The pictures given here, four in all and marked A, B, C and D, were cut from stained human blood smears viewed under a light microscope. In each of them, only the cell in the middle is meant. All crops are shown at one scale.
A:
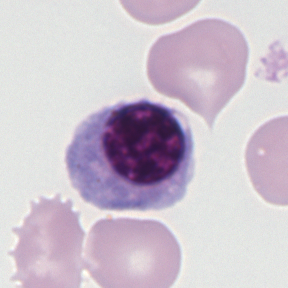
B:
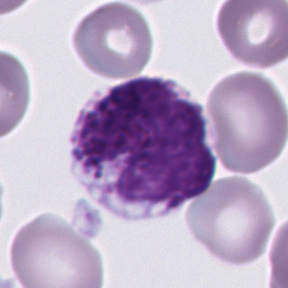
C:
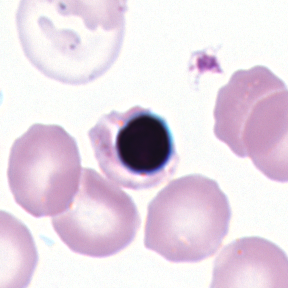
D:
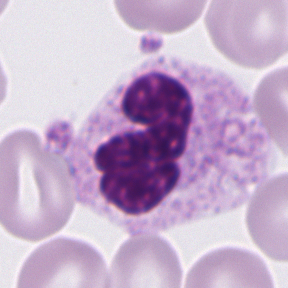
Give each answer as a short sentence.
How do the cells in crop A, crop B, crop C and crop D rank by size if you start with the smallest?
Smallest first: C, A, B, D.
